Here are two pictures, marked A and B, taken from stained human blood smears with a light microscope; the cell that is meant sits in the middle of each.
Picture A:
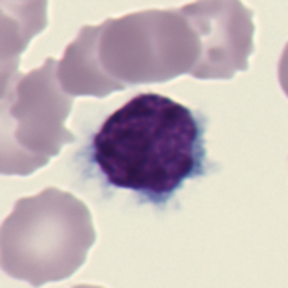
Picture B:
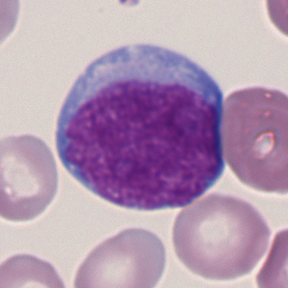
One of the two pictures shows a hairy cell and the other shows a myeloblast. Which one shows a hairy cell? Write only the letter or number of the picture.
A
